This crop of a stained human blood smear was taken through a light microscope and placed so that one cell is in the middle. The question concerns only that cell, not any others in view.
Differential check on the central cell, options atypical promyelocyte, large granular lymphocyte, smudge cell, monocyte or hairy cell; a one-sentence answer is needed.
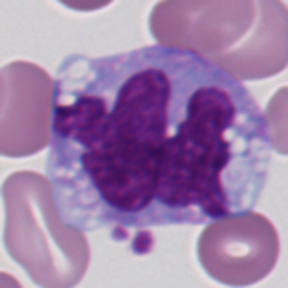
The middle cell in this particular crop is a monocyte.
